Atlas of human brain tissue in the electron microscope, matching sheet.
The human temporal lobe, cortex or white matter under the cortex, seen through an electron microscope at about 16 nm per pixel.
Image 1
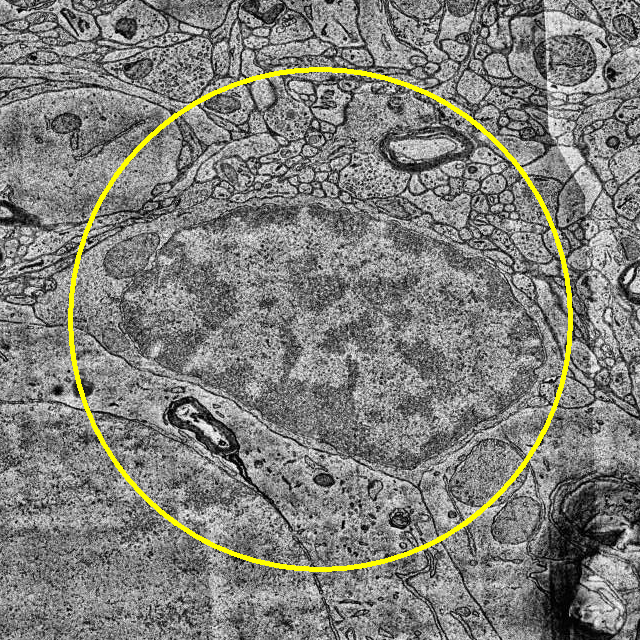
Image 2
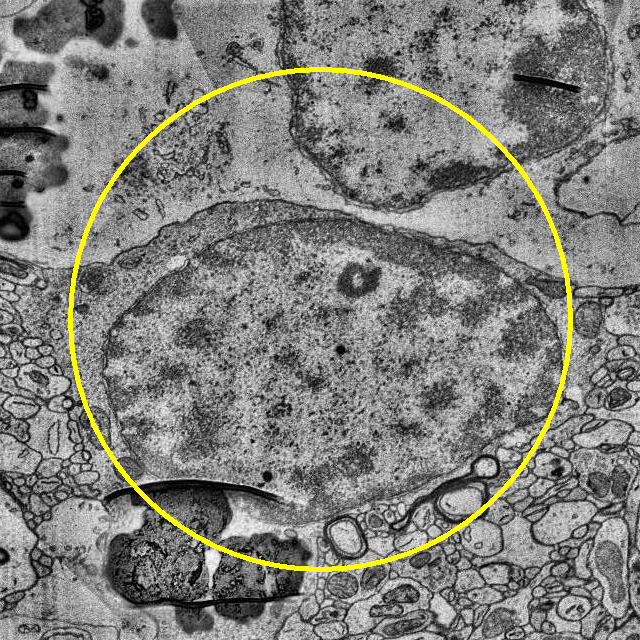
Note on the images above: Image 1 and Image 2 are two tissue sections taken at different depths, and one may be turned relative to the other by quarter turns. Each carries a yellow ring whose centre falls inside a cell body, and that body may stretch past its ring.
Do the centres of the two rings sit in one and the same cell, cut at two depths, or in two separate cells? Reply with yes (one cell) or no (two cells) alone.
no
